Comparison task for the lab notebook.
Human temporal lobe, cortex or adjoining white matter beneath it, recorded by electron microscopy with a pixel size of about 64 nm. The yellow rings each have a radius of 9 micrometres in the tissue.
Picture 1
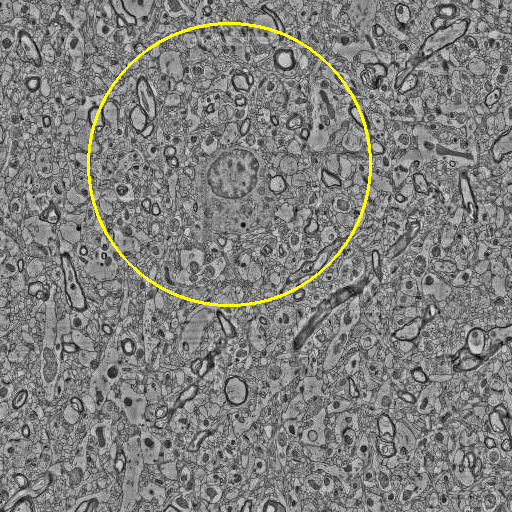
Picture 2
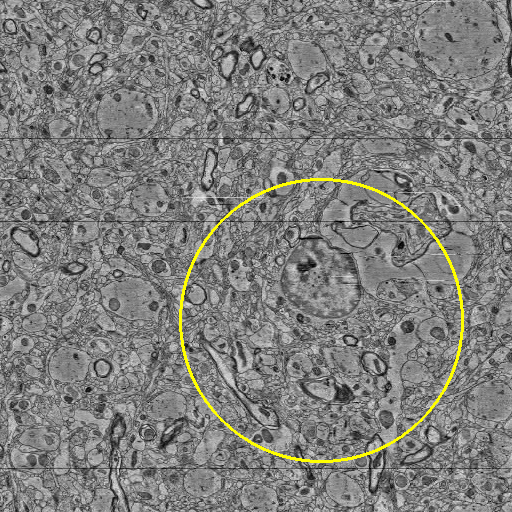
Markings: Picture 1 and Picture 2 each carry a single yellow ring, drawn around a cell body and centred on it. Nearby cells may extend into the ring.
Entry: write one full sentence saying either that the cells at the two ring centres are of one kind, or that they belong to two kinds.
The cells sitting at the ring centres in Picture 1 and Picture 2 are of one kind.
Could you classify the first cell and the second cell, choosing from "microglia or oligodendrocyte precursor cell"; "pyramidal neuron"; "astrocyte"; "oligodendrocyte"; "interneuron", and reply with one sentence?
In each picture the ringed cell is an oligodendrocyte.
